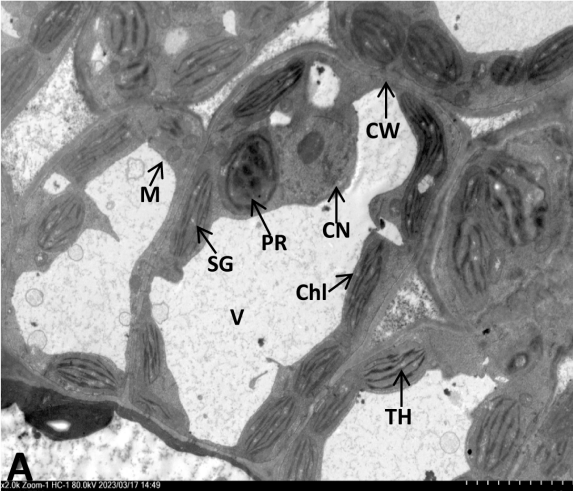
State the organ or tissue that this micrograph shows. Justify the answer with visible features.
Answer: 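Leaf. Many lens-shaped plastids with stacked internal membranes line the cell periphery.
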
